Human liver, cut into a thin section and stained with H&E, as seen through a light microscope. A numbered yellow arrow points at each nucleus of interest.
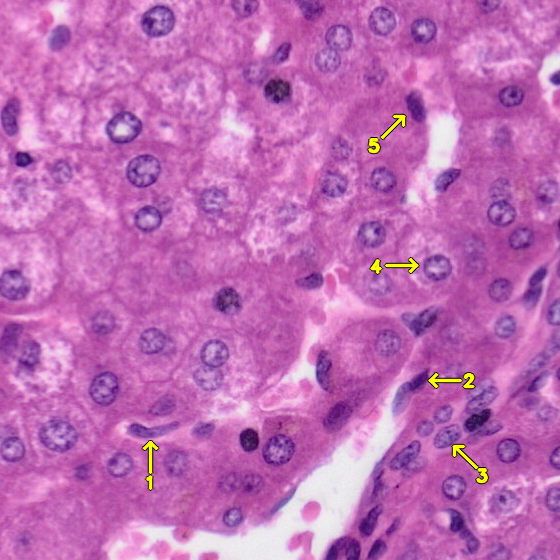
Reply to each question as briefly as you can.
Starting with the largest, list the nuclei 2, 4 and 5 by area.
4, 5, 2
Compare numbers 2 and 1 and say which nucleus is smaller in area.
2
